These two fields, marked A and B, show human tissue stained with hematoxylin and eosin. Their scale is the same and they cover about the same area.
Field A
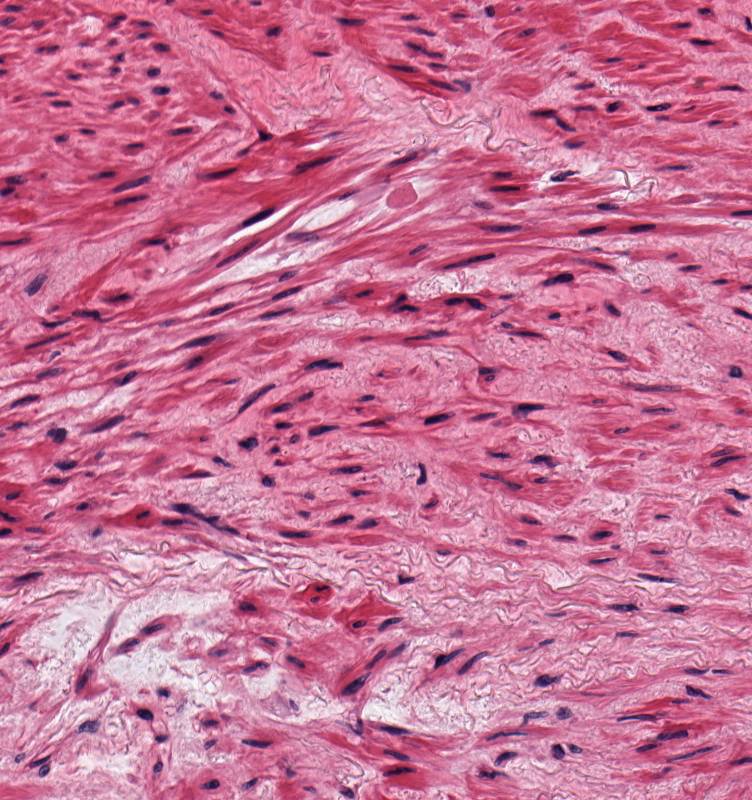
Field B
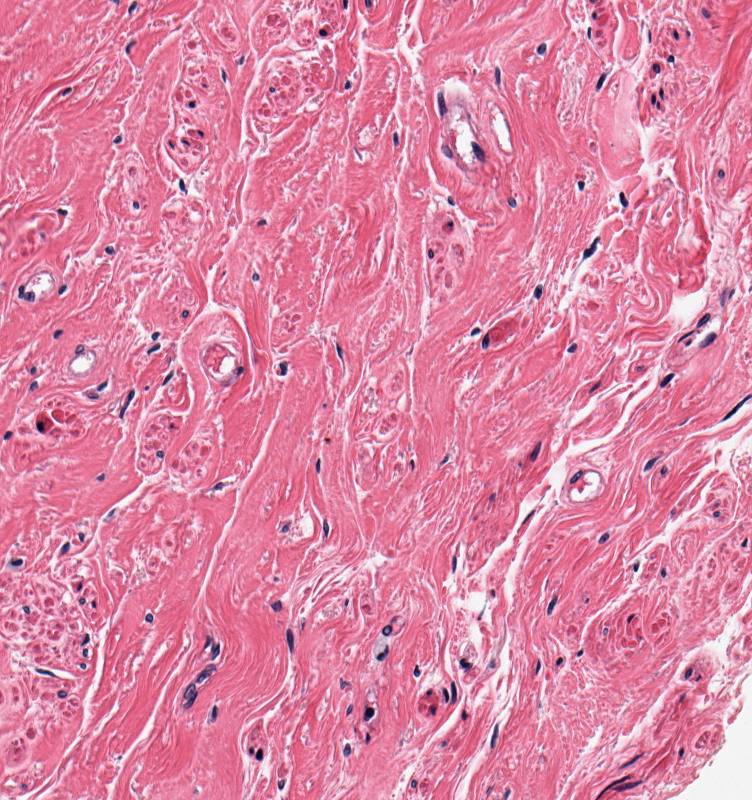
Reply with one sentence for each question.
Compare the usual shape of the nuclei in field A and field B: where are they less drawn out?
On the whole the nuclei of field B are rounder than those of field A.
